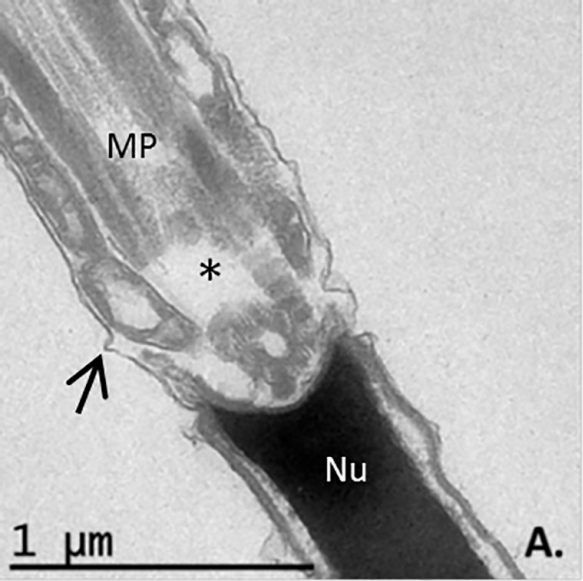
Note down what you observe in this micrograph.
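A longitudinal section of a sperm shows the dark, dense nucleus below and the midpiece running upward from it, with mitochondria lined along its sides. Near the junction with the nucleus the mitochondria are pale and vacuolated, and the plasma membrane stands away from the midpiece.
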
